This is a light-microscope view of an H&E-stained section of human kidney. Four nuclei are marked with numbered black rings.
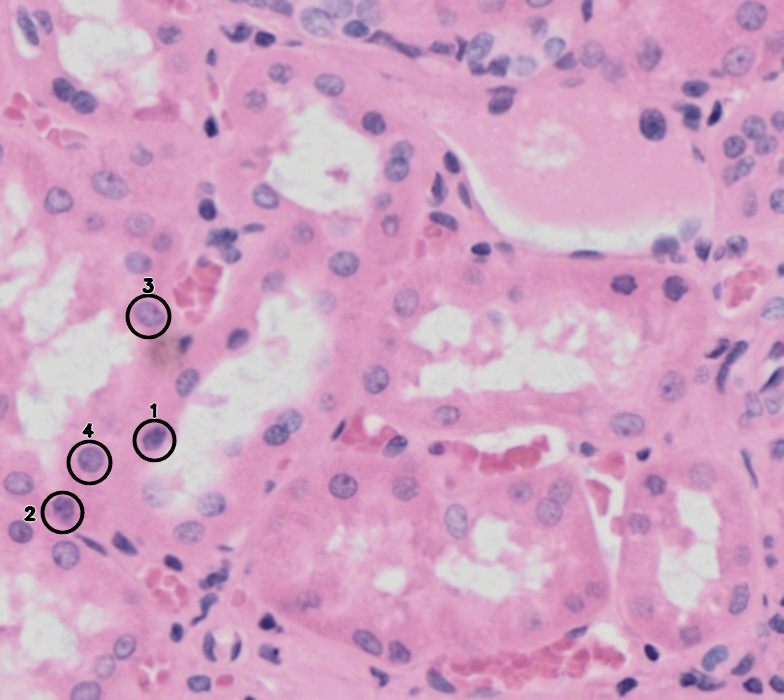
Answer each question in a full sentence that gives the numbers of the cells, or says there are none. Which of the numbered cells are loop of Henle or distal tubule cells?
Only the cell numbered 1 is a loop of Henle or distal tubule cell; none of the others is.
